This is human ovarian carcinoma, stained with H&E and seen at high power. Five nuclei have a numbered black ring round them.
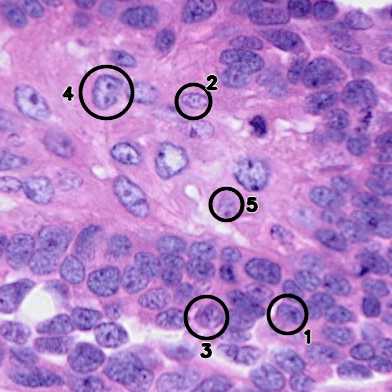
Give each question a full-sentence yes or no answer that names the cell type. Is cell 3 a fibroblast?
No, the cell given number 3 is a carcinoma cell, as opposed to a fibroblast.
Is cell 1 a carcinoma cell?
Yes, the cell corresponding to number 1 is a carcinoma cell.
